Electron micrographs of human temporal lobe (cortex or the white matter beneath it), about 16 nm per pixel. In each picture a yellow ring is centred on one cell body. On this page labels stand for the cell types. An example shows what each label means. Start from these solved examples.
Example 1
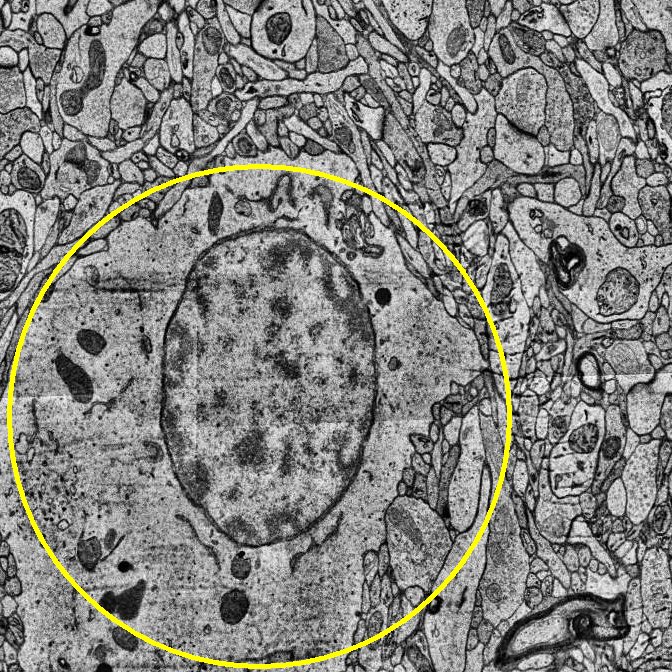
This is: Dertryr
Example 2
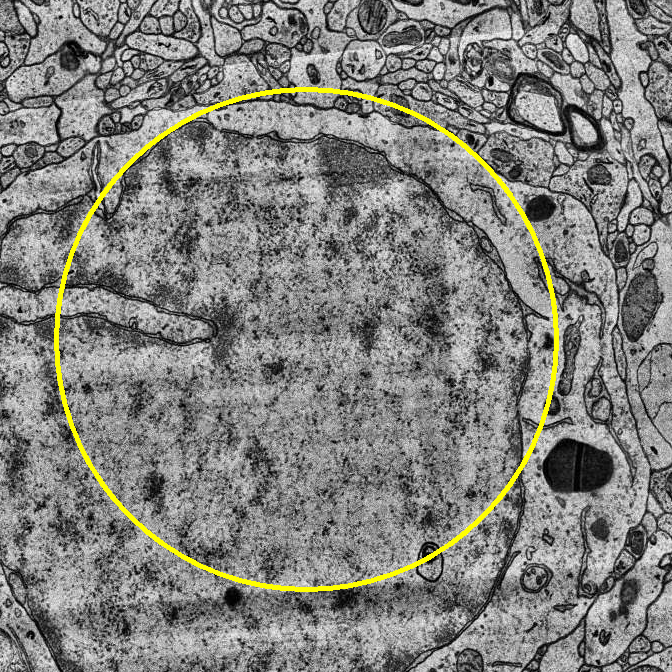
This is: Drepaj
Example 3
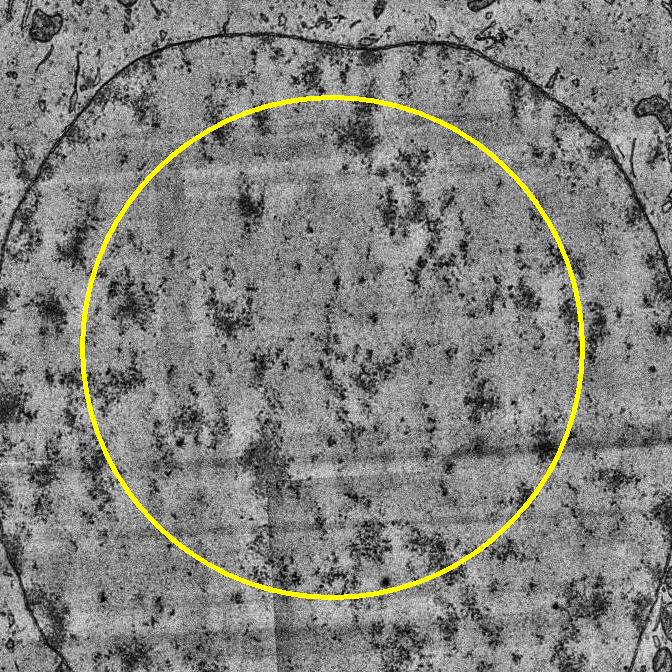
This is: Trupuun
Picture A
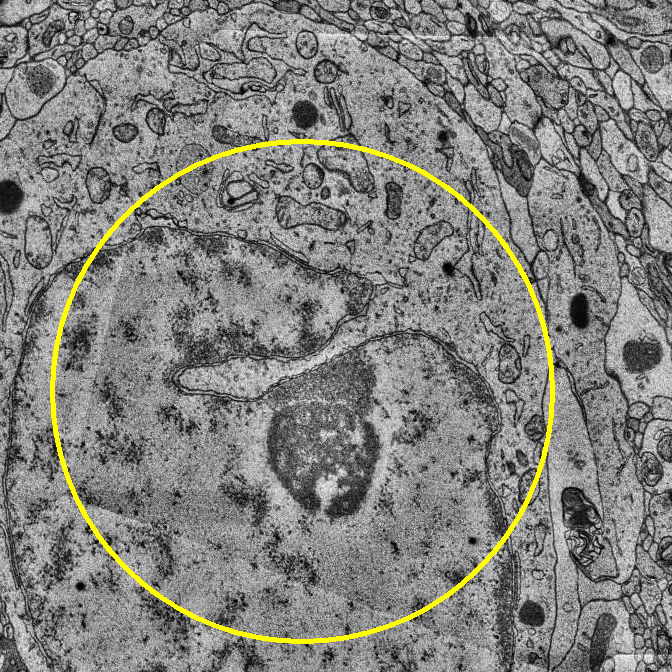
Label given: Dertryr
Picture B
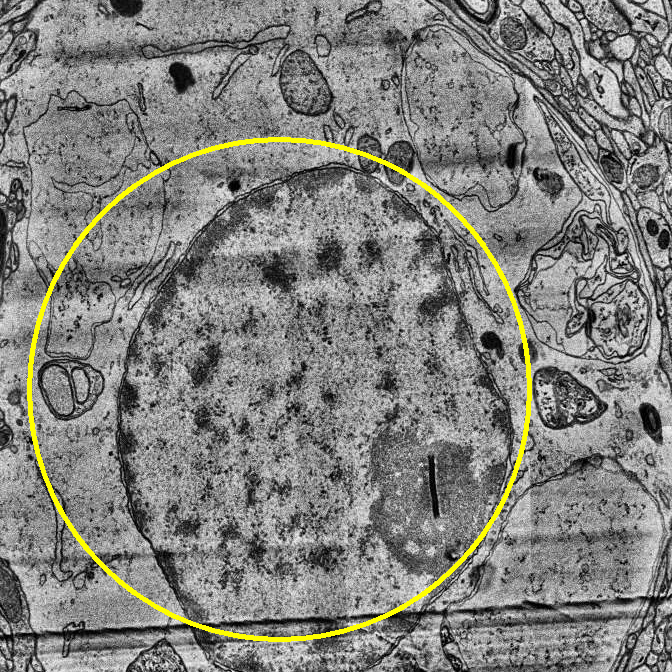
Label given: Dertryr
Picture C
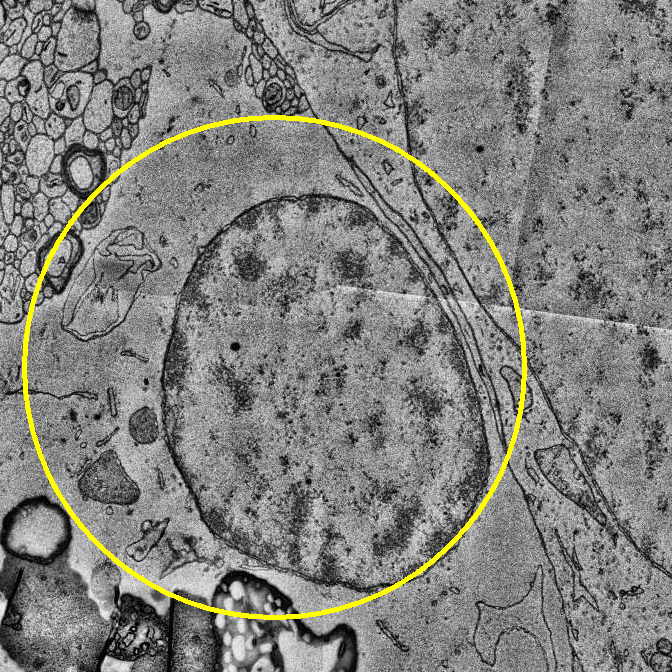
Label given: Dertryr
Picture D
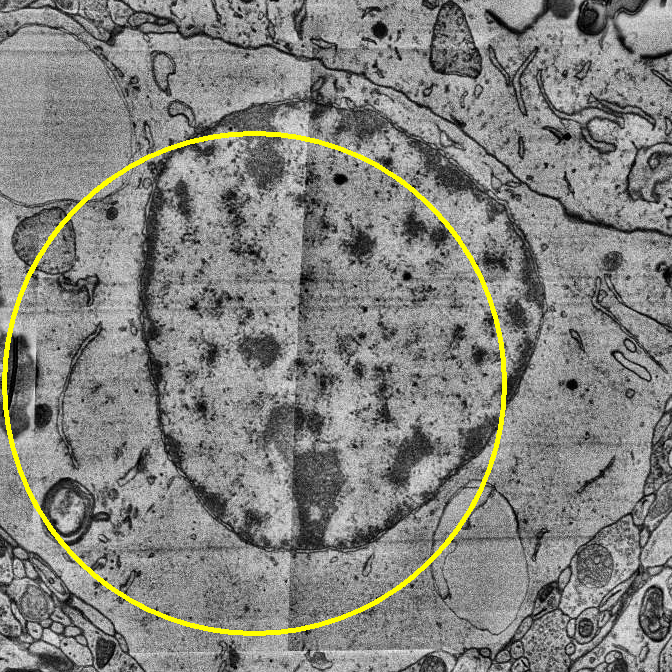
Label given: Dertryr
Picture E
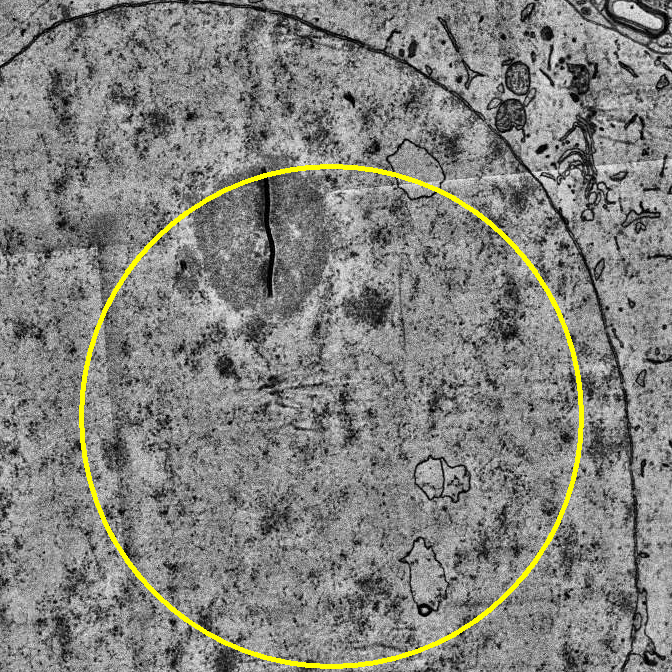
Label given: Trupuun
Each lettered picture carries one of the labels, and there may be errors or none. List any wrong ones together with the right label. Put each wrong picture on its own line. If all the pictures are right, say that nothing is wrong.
A should be Drepaj, not Dertryr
